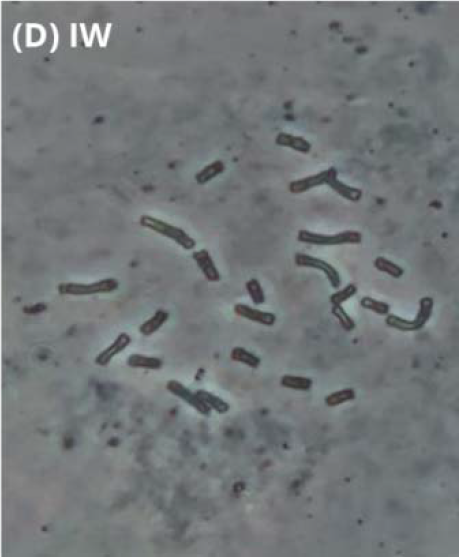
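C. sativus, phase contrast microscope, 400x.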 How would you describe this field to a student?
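Mitotic chromosome spread from a single cell, with the condensed chromosomes lying separately over a pale background. The chromosomes are short, compact rods with blunt ends and dark outlines. Most lie well apart from one another, and only a few touch or overlap. No nuclear envelope or interphase nucleus surrounds them. A few are longer and gently curved, while most are short and straight.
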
